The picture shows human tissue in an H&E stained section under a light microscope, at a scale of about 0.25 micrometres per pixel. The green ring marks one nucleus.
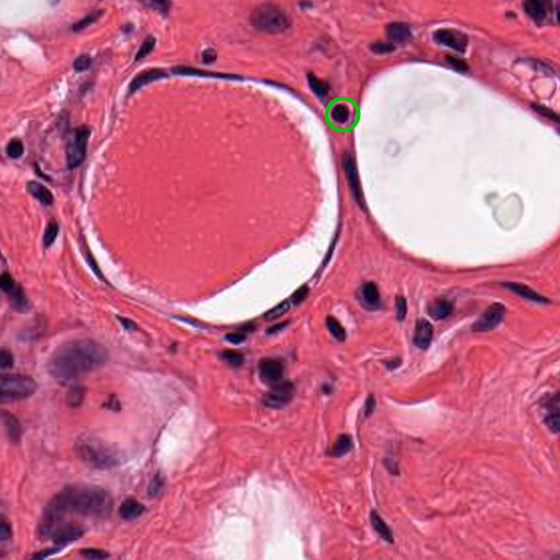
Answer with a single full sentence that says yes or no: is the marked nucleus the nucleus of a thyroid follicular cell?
No, rather than to a thyroid follicular cell, the marked nucleus belongs to a supporting cell.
